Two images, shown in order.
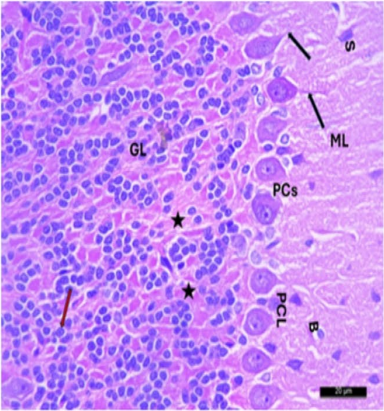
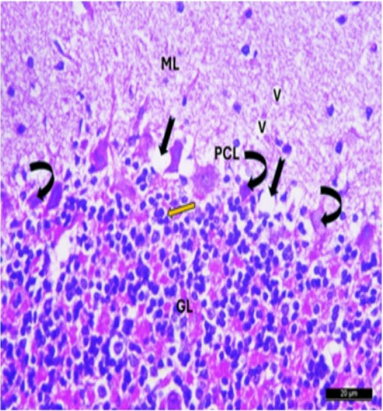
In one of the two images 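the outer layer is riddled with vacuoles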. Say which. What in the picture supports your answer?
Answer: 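The second image. Second image: the pale outer layer is loose and full of small clear holes. First image: the outer layer is an even, finely fibrillar pink neuropil without holes.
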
